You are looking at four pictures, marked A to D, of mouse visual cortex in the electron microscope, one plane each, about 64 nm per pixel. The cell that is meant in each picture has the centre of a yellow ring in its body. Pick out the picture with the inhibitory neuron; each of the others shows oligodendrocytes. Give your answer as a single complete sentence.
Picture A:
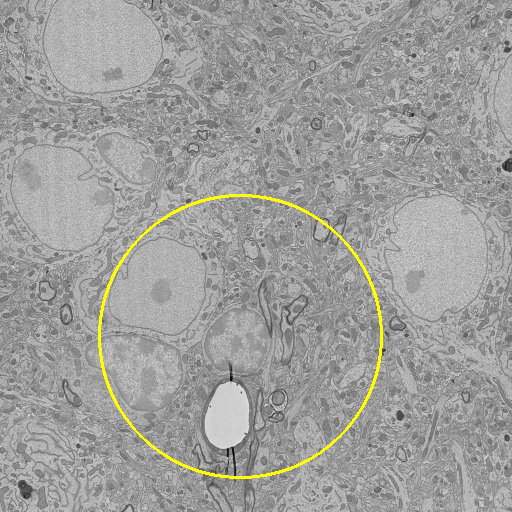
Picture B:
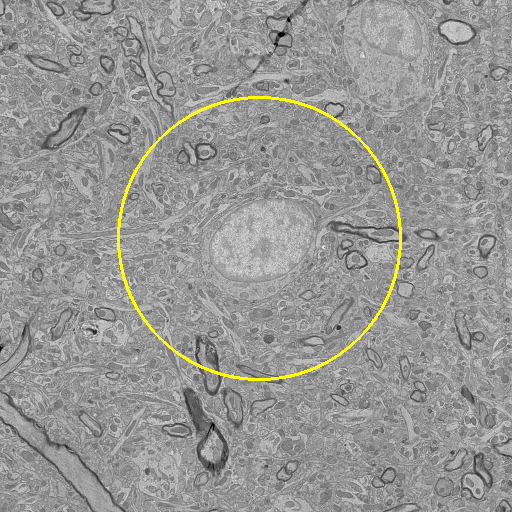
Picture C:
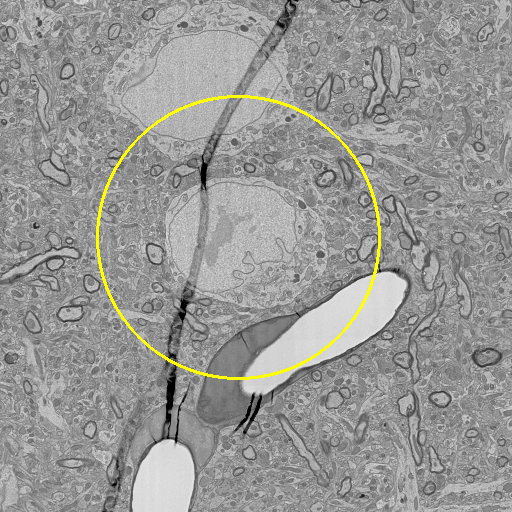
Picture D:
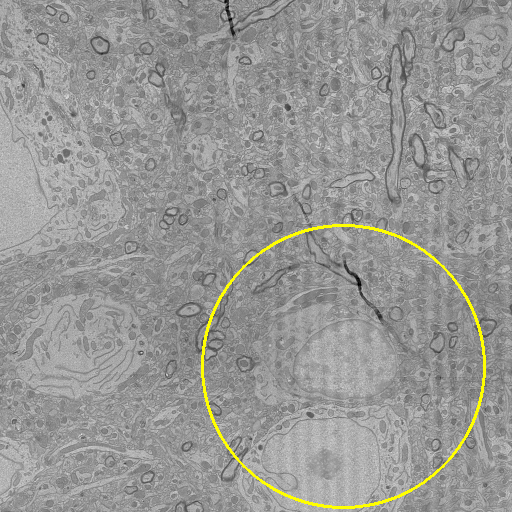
Picture C shows the inhibitory neuron.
